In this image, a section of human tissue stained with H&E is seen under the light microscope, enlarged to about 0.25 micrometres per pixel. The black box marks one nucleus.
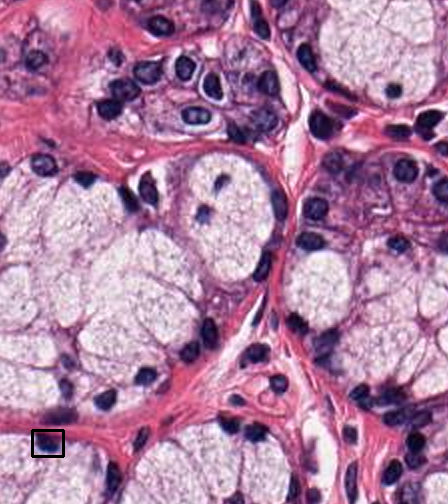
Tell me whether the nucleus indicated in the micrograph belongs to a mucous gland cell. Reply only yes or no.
yes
